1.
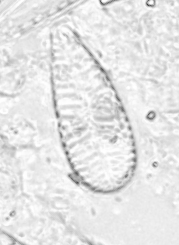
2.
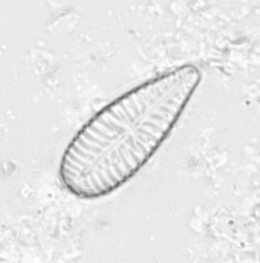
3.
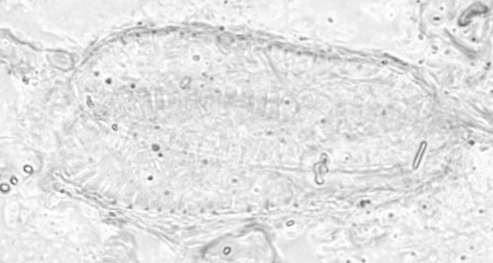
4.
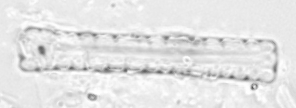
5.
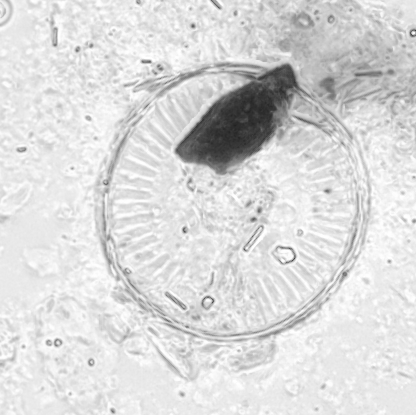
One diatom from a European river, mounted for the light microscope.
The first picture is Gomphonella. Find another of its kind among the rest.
Picture 2.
